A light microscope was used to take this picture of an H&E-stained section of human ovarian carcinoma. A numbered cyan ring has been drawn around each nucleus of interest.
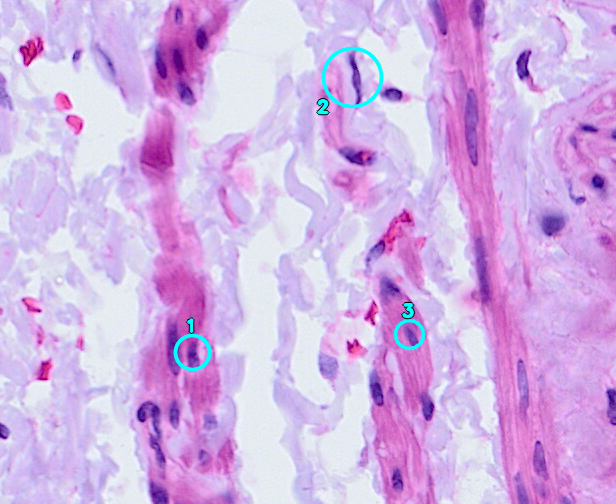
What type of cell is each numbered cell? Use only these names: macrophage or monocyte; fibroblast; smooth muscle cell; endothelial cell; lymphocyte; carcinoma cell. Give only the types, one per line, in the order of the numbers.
smooth muscle cell
fibroblast
smooth muscle cell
